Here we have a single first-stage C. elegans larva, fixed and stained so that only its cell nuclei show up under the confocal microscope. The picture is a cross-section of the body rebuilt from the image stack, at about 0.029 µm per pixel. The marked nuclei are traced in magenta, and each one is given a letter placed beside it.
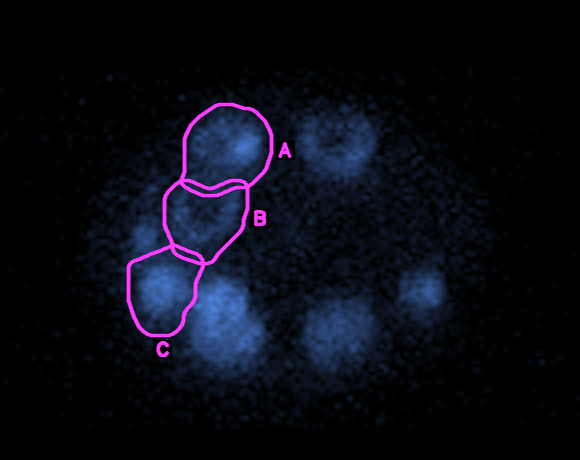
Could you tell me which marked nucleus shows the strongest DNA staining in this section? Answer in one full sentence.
Of the marked nuclei, C takes up the stain most strongly.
